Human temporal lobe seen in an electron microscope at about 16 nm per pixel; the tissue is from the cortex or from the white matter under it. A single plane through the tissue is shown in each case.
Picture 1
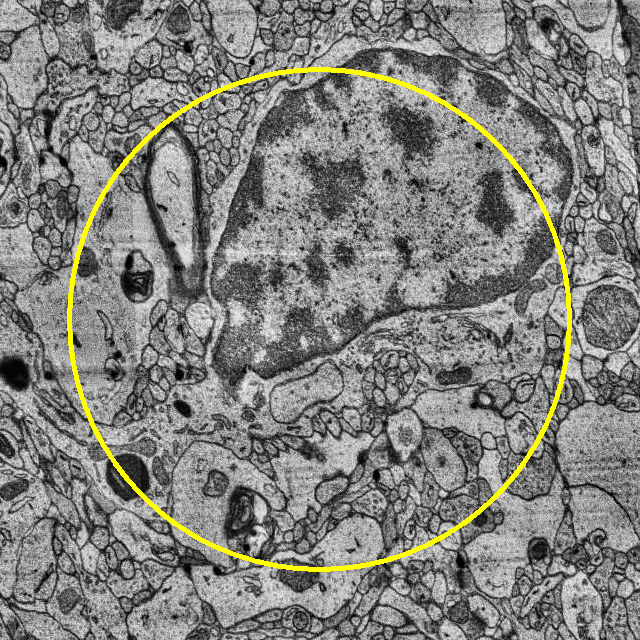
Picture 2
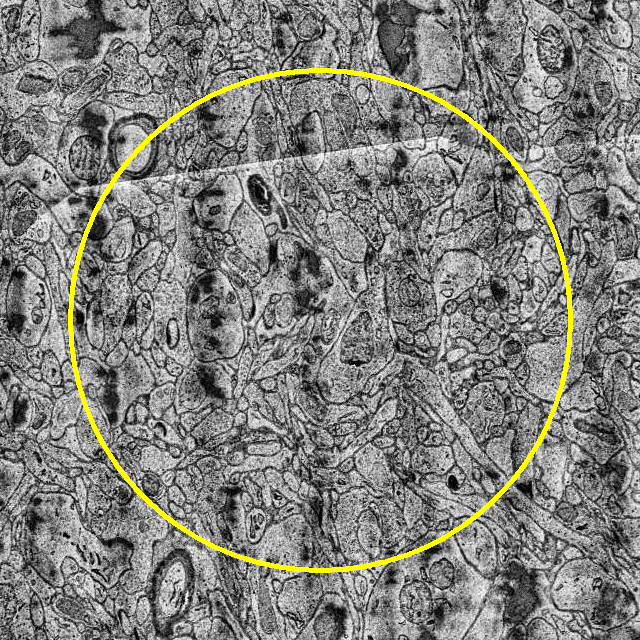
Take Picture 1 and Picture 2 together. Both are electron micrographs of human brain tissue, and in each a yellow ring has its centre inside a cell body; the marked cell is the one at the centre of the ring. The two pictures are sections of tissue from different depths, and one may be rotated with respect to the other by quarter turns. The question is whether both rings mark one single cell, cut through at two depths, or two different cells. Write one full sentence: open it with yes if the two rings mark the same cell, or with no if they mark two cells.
No, the two yellow rings each circle a different cell.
